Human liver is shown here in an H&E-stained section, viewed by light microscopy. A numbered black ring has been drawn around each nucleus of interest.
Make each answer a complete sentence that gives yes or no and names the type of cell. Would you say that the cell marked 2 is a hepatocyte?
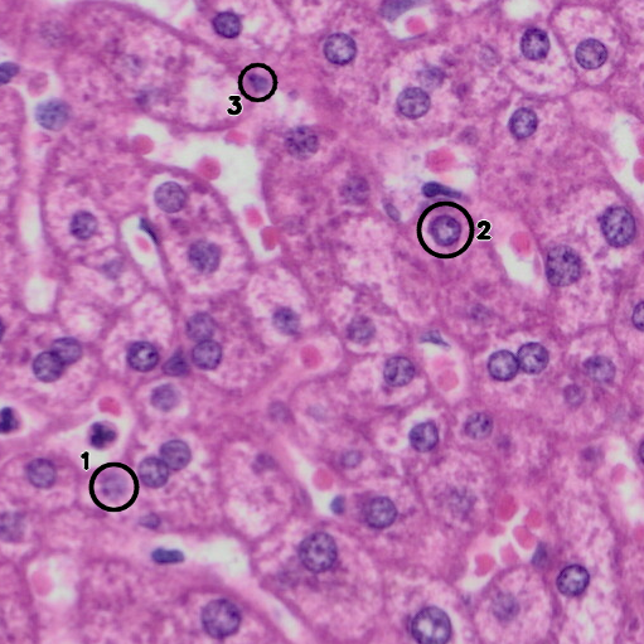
Yes, the cell to which number 2 refers is a hepatocyte.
